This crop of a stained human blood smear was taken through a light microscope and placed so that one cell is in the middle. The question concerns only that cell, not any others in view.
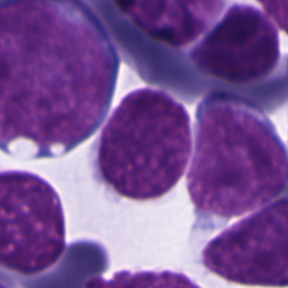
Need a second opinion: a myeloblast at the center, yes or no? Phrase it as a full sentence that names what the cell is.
Yes, the cell at the middle of the field is to be classed as a myeloblast.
